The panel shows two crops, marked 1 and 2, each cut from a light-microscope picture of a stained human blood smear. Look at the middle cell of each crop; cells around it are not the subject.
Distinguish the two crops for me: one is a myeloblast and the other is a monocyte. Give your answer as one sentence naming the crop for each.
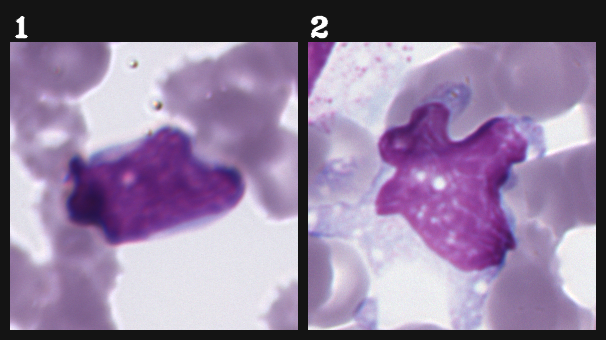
Crop 1 is classified as a myeloblast, and crop 2 as a monocyte.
